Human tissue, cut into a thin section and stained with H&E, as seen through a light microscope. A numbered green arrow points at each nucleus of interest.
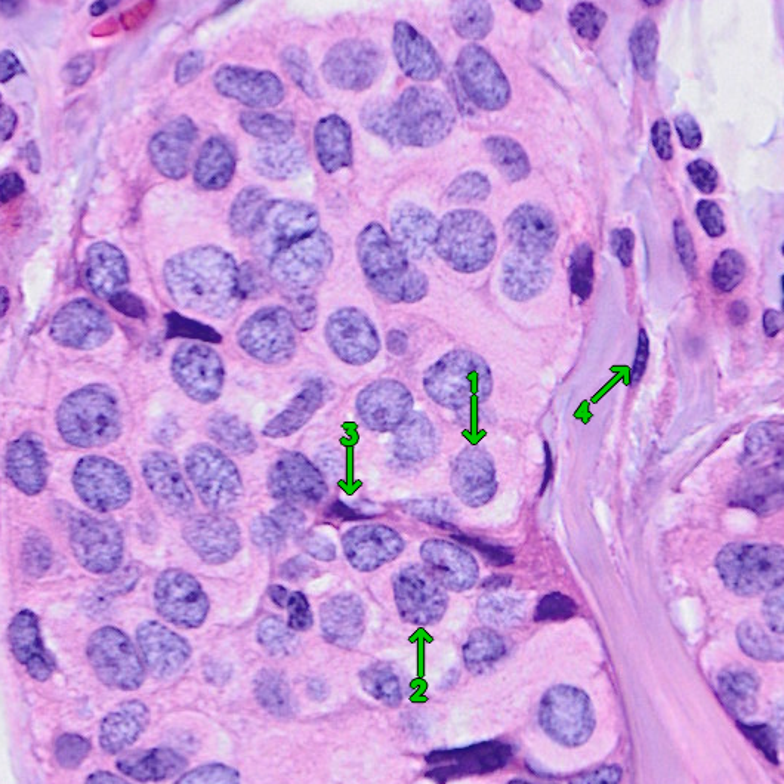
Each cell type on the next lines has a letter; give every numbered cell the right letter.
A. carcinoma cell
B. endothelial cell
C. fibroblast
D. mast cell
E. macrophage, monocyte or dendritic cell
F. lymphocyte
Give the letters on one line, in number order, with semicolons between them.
A; A; A; C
